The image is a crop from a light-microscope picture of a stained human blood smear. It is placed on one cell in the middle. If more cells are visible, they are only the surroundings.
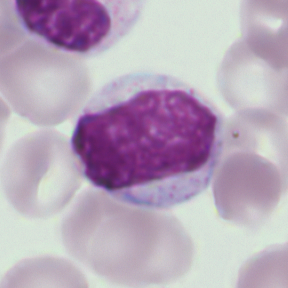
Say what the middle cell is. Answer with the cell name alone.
metamyelocyte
